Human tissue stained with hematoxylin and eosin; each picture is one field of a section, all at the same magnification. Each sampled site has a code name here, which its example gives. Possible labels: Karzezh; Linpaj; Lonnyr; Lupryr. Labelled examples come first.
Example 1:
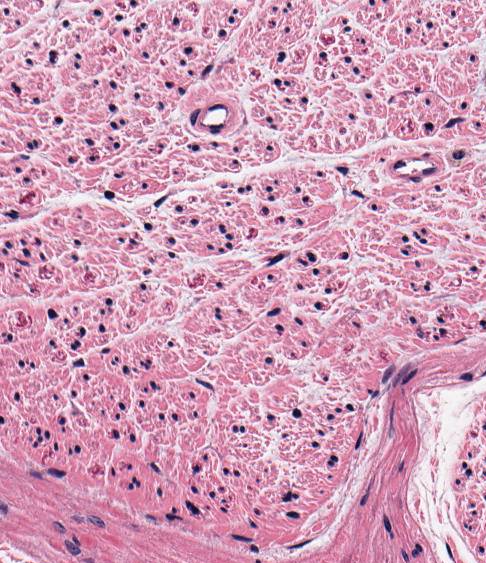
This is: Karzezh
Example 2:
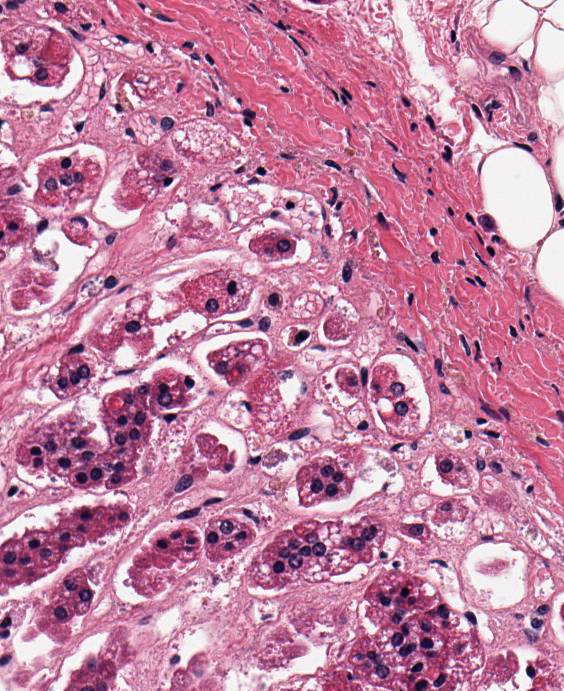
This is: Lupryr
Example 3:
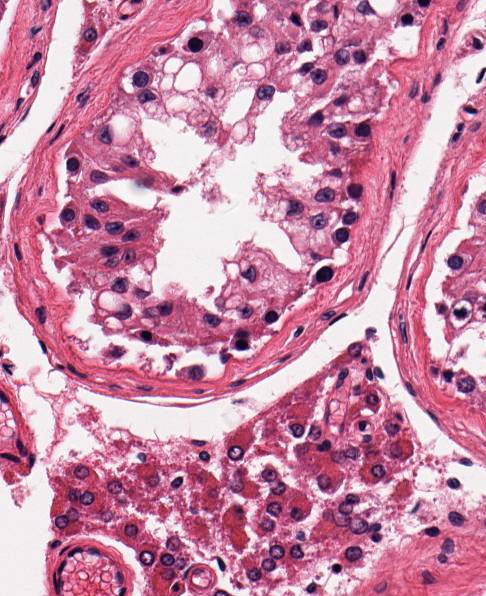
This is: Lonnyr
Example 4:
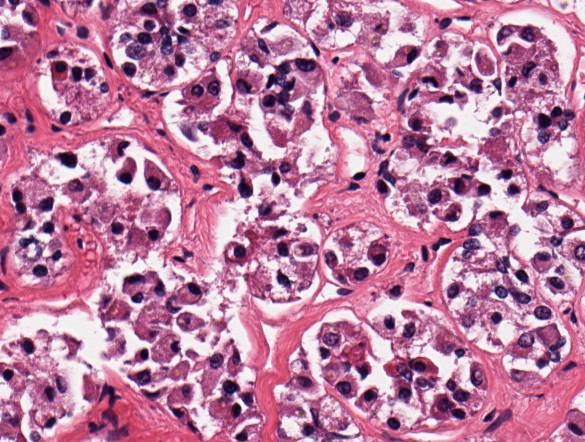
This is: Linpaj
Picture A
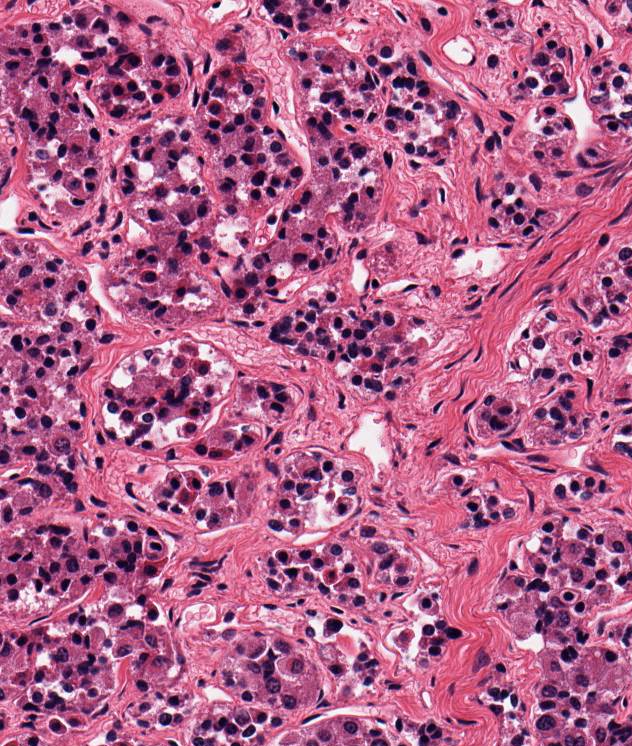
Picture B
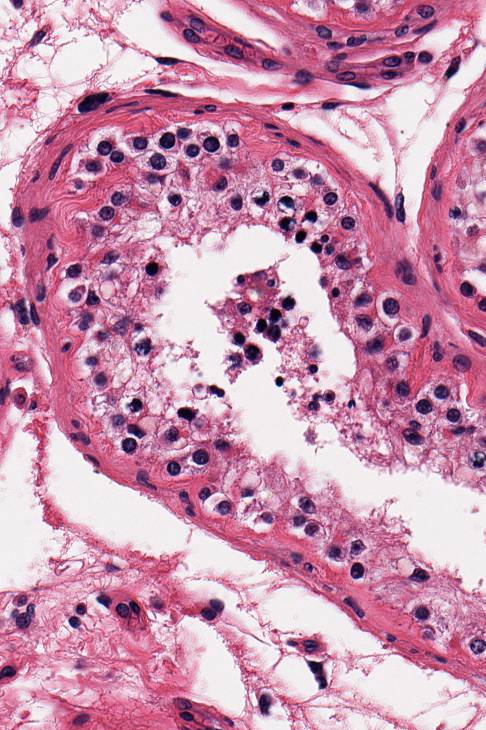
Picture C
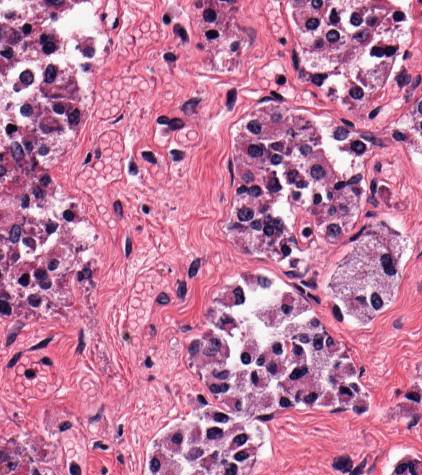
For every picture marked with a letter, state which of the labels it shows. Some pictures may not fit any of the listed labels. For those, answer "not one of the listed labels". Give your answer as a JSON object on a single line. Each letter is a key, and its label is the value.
{"A": "Linpaj", "B": "Lonnyr", "C": "Linpaj"}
